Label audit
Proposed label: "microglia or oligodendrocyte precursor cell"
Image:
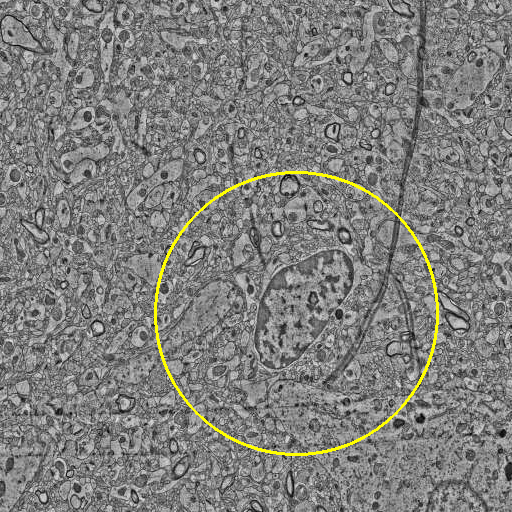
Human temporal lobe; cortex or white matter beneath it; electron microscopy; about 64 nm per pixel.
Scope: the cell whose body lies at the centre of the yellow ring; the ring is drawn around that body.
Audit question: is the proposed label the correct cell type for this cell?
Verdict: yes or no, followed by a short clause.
Yes, the label fits this cell.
